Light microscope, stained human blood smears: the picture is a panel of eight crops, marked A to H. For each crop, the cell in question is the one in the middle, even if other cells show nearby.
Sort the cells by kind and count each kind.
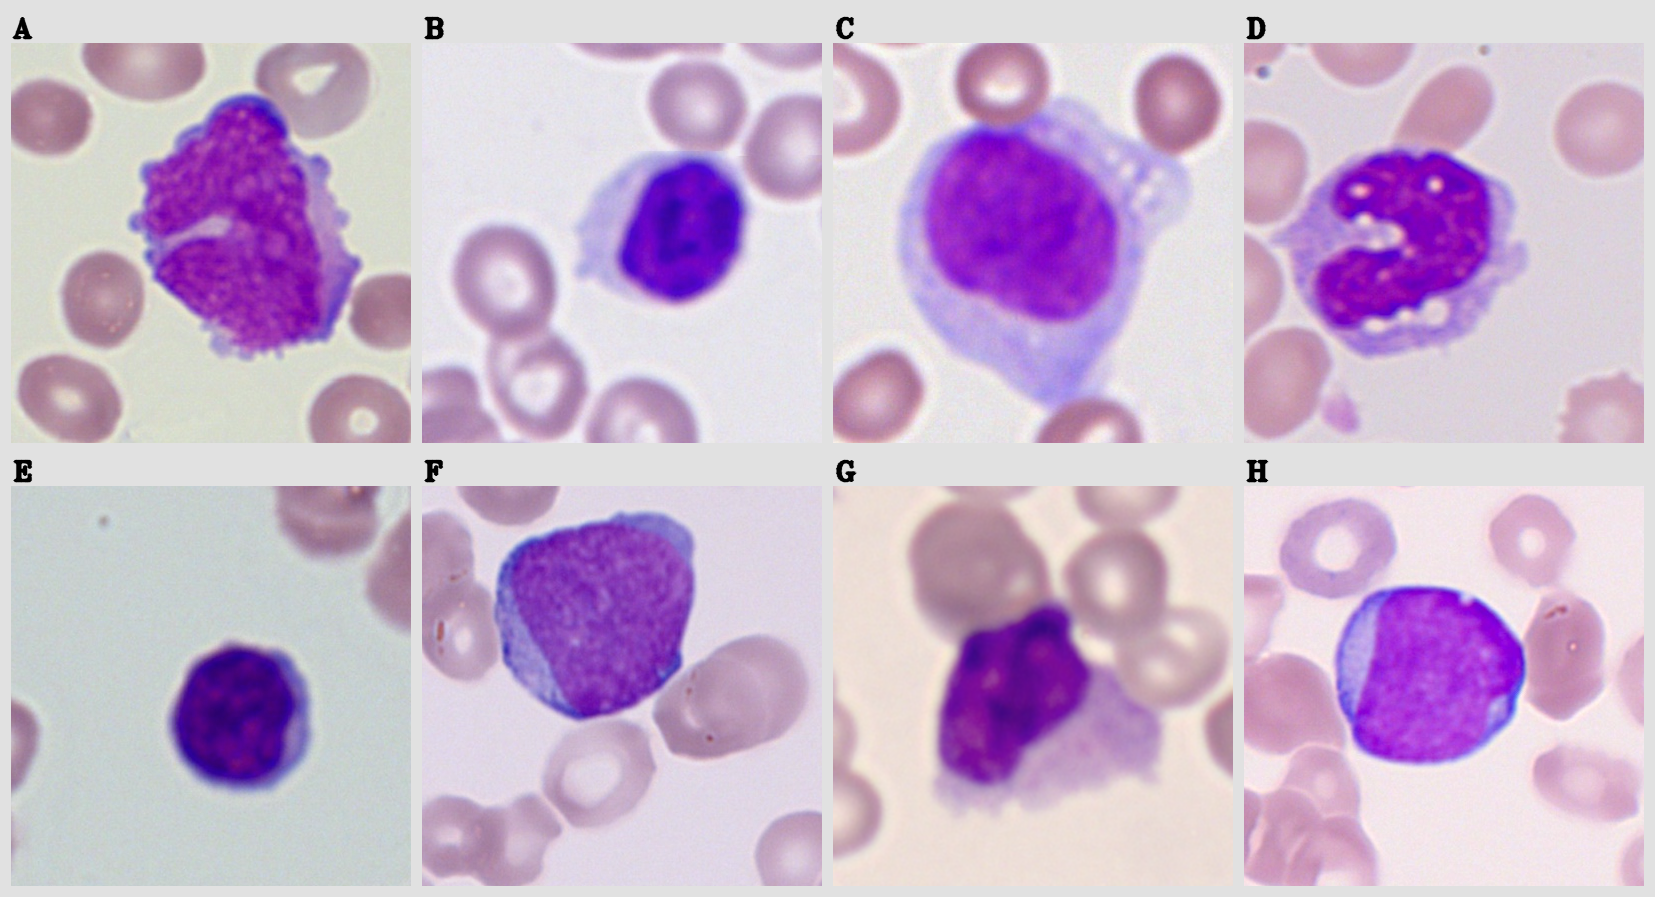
monocyte: 4
lymphocyte: 2
blast: 2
